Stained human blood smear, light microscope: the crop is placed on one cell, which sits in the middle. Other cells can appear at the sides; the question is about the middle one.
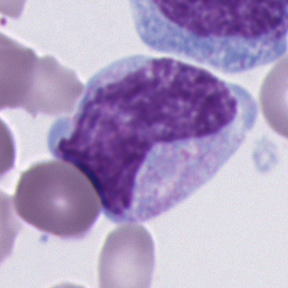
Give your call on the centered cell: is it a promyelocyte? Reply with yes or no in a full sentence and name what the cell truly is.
Yes, the cell lying in the middle is a promyelocyte.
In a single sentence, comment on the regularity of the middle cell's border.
Rather than running smoothly, the cell border is ragged or carries projections.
